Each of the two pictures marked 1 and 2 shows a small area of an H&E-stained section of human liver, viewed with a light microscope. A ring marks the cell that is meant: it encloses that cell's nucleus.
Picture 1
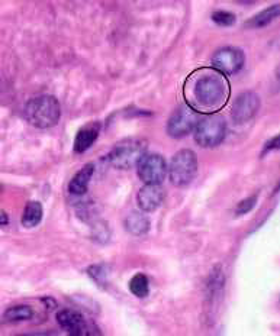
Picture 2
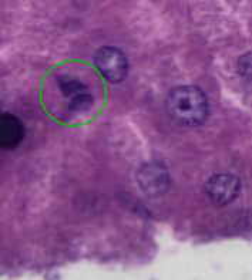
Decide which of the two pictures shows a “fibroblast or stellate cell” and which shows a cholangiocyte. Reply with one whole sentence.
The cell in picture 1 is a cholangiocyte, and the one in picture 2 is a “fibroblast or stellate cell”.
